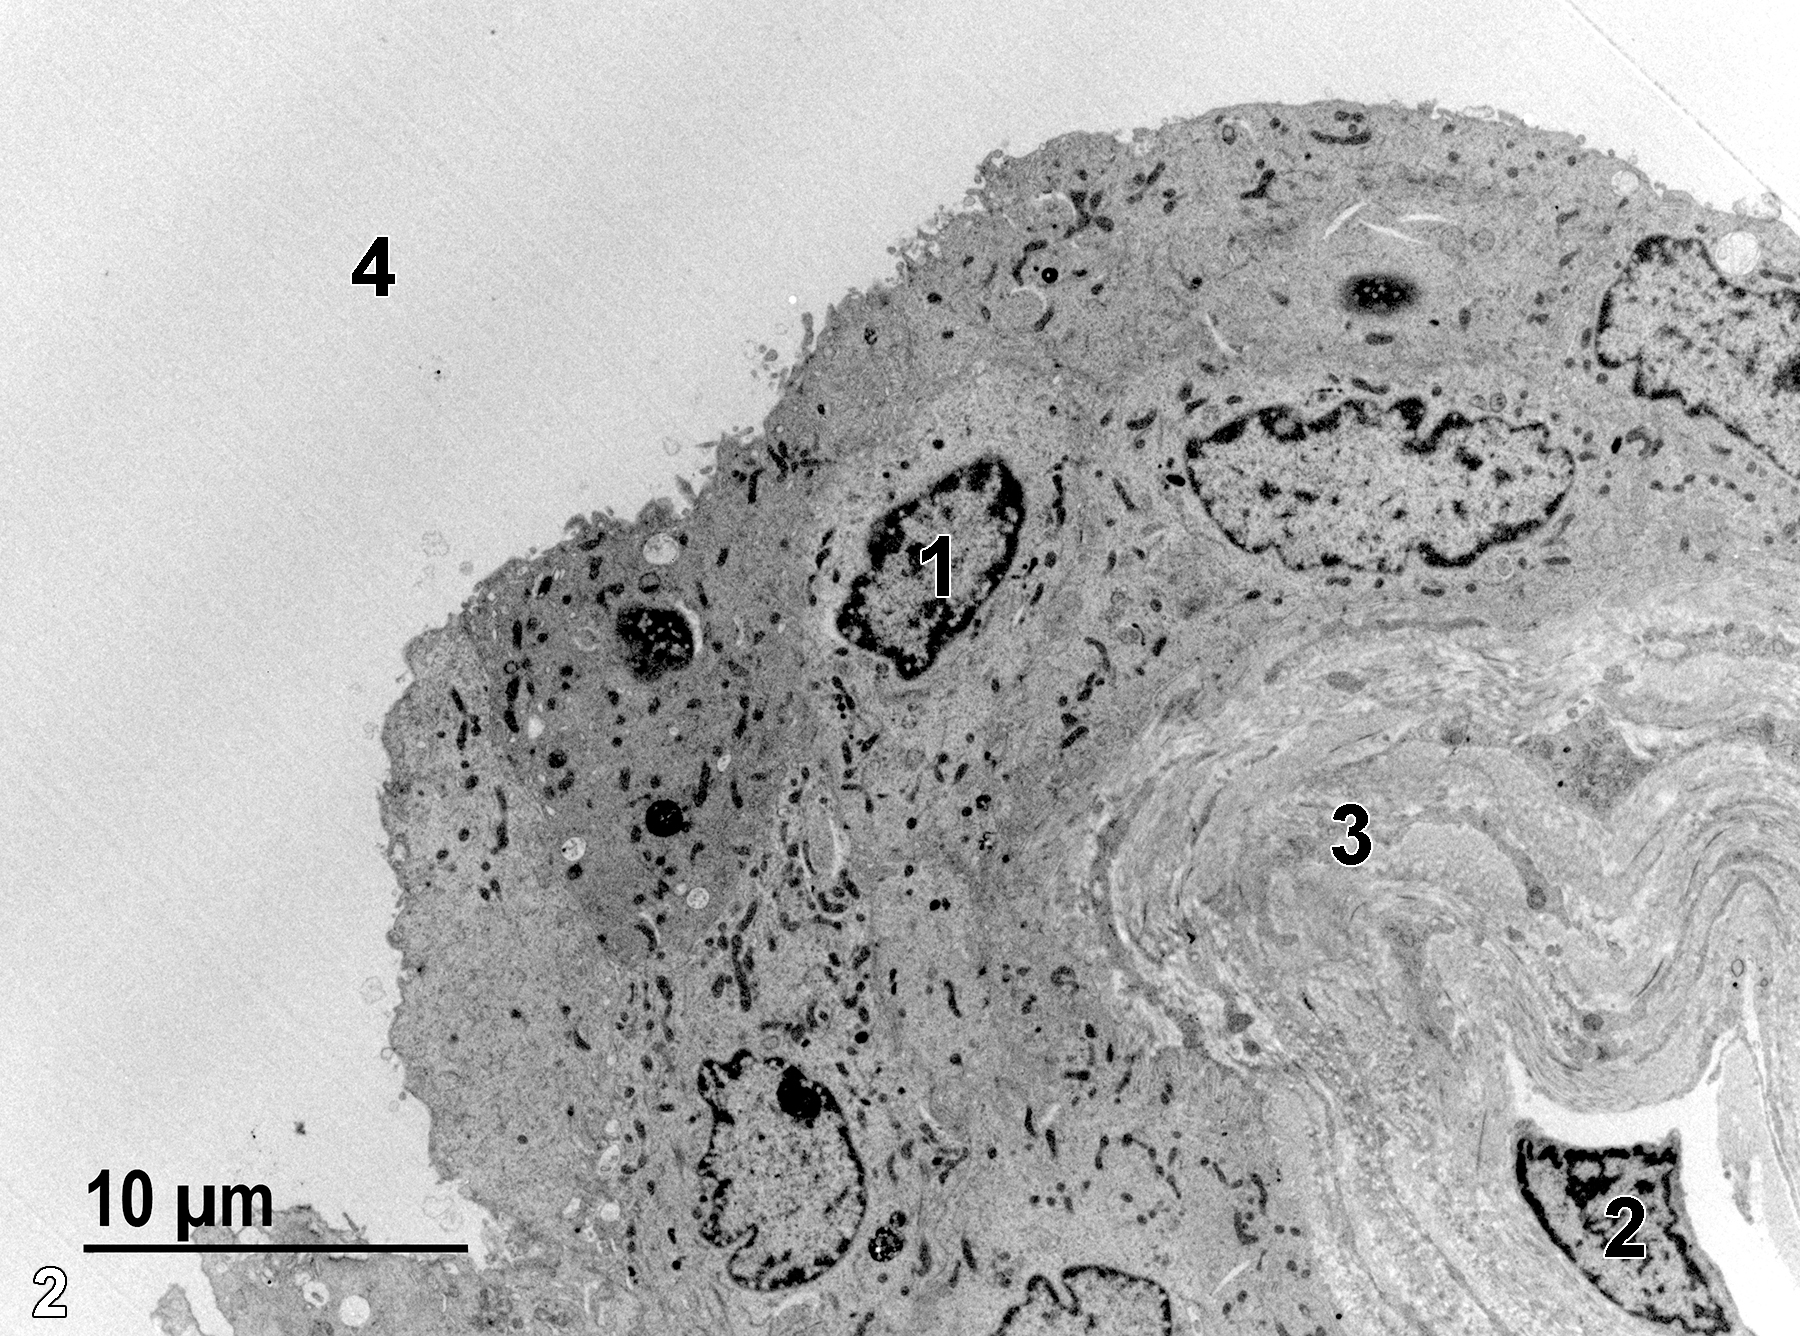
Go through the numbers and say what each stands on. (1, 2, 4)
(1) epithelial cell nucleus
(2) fibroblast cell nucleus
(4) bladder lumen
